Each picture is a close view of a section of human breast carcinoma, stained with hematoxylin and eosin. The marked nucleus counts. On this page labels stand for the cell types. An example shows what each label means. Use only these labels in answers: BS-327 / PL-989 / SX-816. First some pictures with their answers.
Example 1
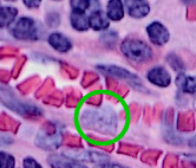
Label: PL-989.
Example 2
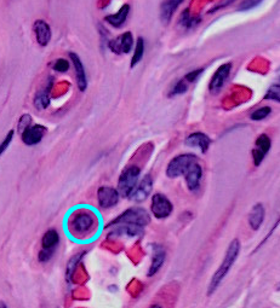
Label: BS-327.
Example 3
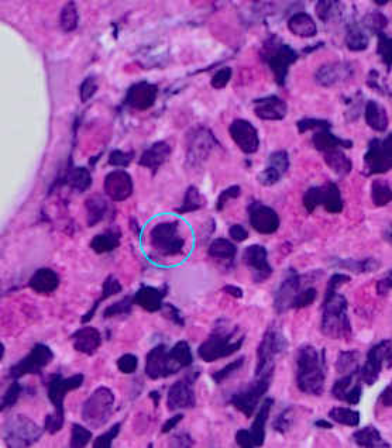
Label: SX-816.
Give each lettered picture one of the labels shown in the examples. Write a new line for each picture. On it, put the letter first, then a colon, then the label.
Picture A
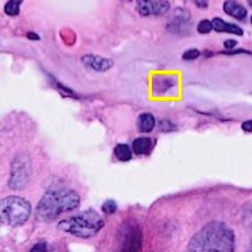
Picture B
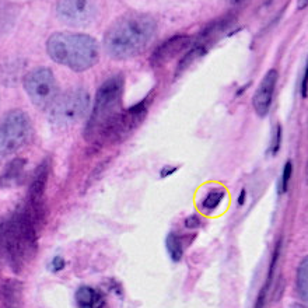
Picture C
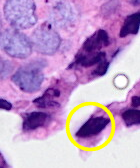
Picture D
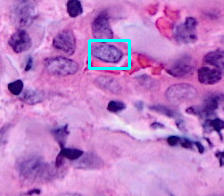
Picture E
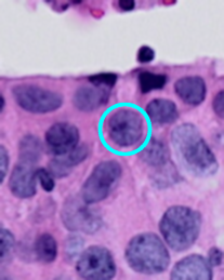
A: BS-327.
B: BS-327.
C: SX-816.
D: PL-989.
E: SX-816.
